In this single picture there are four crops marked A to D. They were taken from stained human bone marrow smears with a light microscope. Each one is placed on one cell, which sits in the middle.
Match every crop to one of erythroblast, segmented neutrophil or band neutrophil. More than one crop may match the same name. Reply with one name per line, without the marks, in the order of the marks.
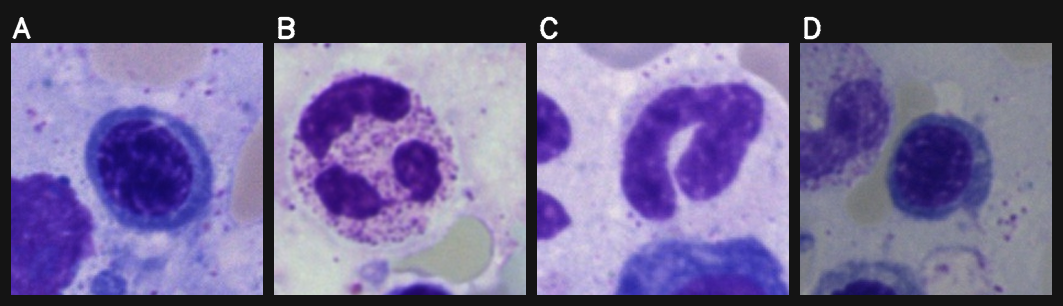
erythroblast
segmented neutrophil
band neutrophil
erythroblast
